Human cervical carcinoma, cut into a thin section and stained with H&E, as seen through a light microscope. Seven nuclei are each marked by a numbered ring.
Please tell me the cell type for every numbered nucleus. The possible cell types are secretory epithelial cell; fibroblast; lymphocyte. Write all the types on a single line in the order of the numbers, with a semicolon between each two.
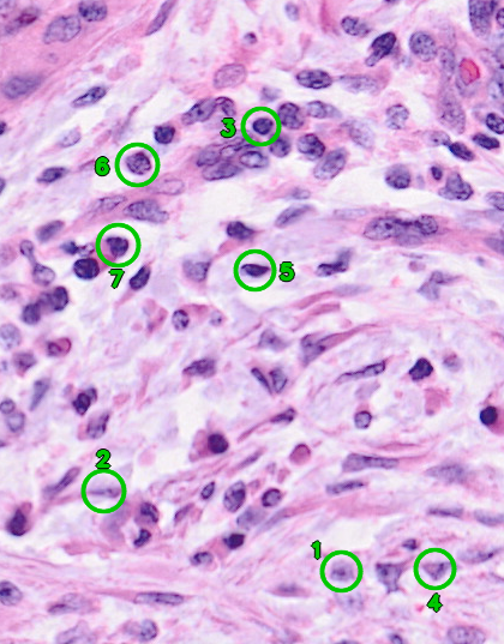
fibroblast; fibroblast; lymphocyte; fibroblast; lymphocyte; lymphocyte; lymphocyte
